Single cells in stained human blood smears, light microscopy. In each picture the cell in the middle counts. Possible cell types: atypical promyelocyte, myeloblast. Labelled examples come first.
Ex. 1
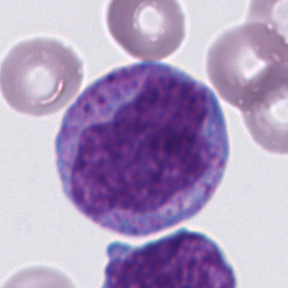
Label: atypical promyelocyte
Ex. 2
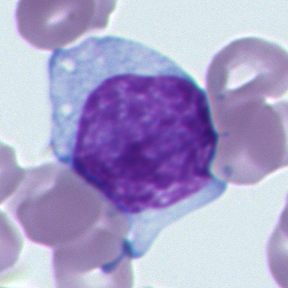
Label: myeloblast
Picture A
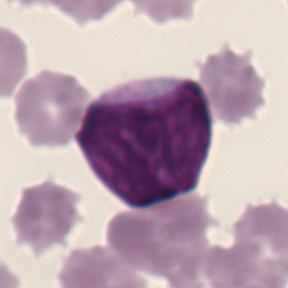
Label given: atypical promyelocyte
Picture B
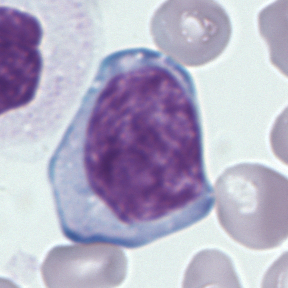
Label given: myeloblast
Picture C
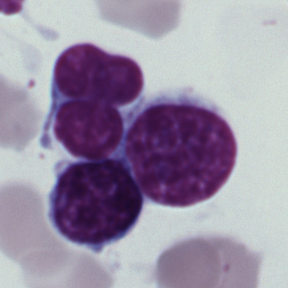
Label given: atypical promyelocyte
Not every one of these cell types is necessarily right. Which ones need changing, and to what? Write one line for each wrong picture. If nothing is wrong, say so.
A: myeloblast, not atypical promyelocyte
C: myeloblast, not atypical promyelocyte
